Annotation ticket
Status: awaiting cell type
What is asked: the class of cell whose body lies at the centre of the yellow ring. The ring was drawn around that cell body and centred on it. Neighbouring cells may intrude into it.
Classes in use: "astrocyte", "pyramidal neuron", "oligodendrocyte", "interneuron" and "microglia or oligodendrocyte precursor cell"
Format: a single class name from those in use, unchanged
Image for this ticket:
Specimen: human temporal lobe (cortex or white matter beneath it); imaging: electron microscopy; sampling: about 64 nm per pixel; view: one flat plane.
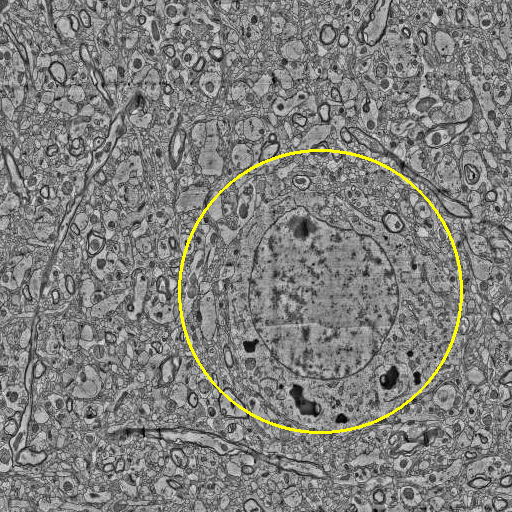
pyramidal neuron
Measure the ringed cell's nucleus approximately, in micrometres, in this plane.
In this plane, about 12 micrometres in length and 10 in width.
